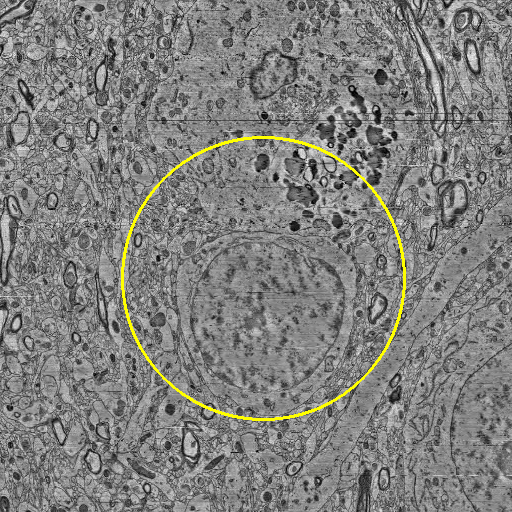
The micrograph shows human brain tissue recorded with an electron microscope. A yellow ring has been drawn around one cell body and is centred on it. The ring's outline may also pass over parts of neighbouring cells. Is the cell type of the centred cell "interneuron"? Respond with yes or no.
yes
